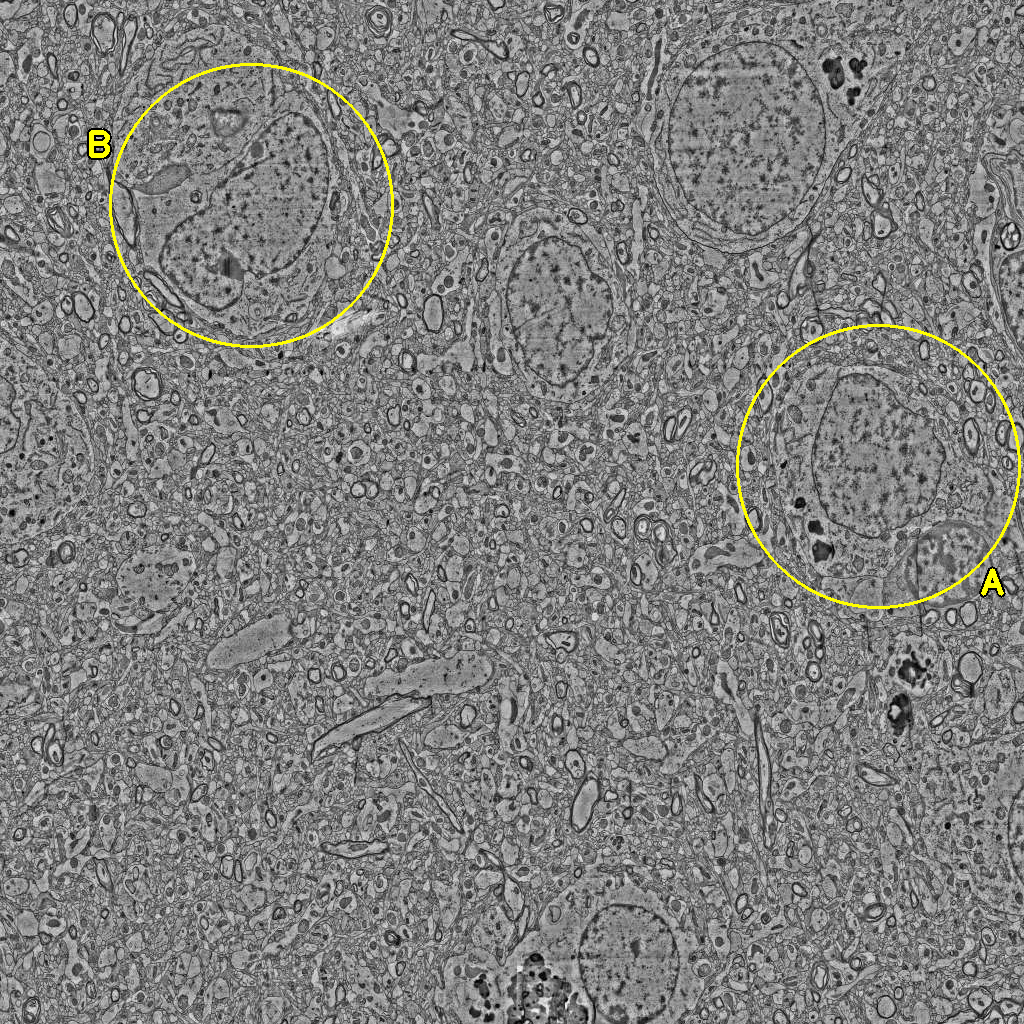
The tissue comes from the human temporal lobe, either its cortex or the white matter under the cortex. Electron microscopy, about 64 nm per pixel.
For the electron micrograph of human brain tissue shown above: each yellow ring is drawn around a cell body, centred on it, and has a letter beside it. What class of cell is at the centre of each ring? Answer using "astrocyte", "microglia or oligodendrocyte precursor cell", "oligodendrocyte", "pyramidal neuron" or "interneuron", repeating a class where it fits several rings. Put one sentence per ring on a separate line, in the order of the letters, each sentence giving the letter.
At ring A, the central cell is a pyramidal neuron.
At ring B, the central cell is a microglial cell or oligodendrocyte precursor cell.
